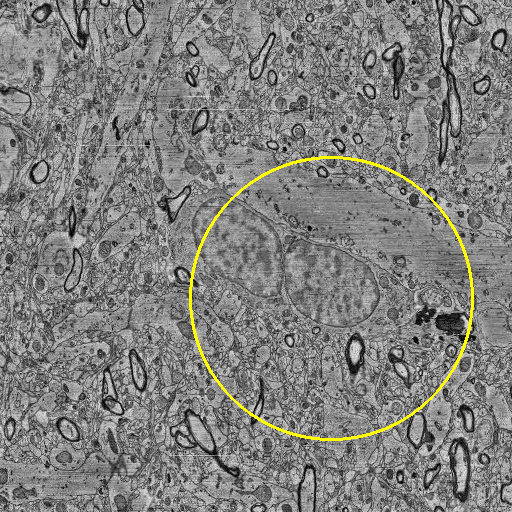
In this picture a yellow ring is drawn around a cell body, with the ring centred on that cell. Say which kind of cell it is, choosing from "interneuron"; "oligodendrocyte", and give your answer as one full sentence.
Here it is an oligodendrocyte that sits at the centre of the drawn yellow ring.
